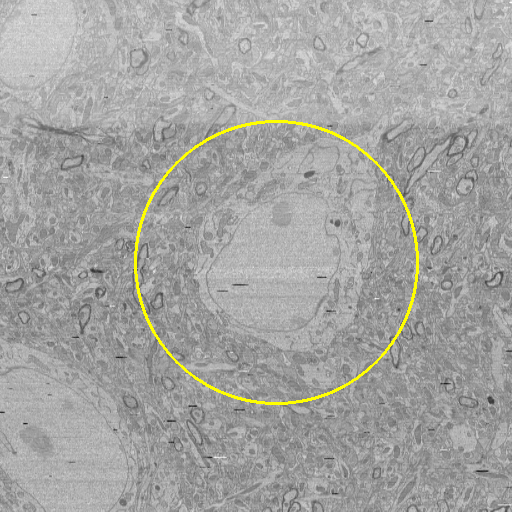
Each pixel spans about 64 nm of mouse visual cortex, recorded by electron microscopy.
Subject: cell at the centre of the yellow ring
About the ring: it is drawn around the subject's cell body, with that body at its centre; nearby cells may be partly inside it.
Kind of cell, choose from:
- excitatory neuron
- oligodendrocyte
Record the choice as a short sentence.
The subject cell is an excitatory neuron.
